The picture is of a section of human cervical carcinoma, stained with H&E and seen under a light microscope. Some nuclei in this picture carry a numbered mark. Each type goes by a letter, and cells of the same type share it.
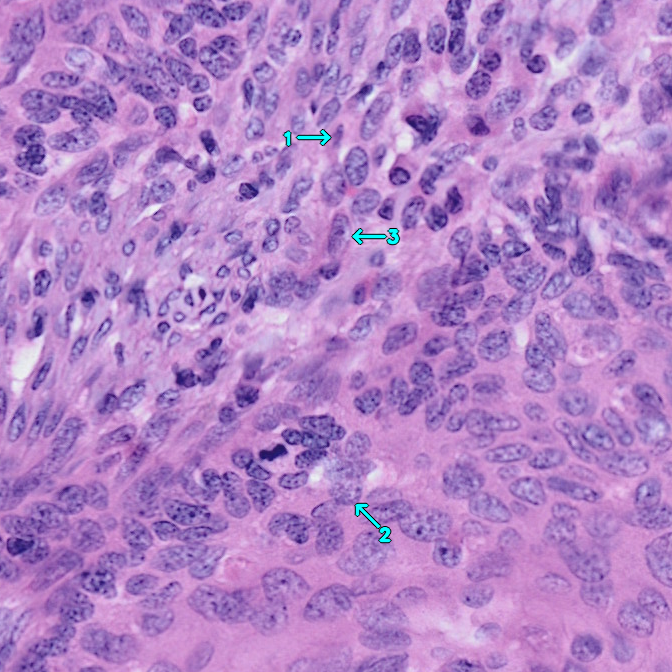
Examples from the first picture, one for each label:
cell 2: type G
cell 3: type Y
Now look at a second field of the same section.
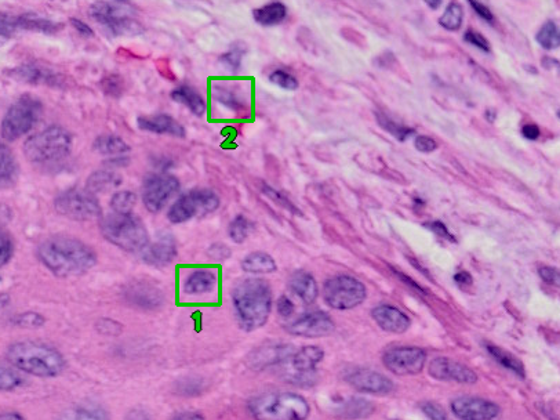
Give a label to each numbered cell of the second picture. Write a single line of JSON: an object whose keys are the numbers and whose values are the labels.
{"1": "type G", "2": "type Y"}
